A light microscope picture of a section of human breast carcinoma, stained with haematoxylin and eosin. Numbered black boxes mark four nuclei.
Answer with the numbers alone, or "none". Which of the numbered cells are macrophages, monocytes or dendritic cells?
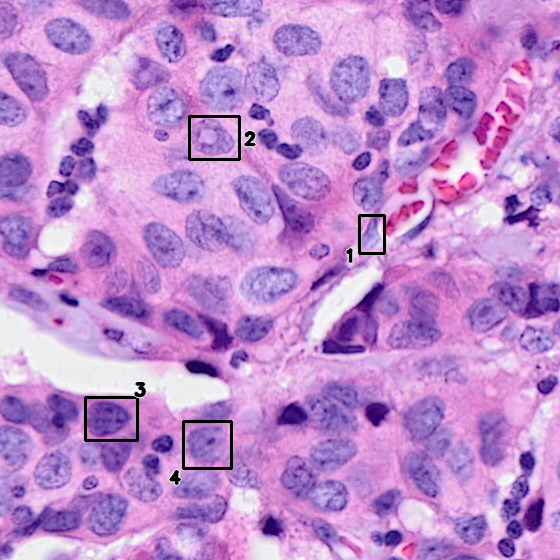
none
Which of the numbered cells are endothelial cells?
1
